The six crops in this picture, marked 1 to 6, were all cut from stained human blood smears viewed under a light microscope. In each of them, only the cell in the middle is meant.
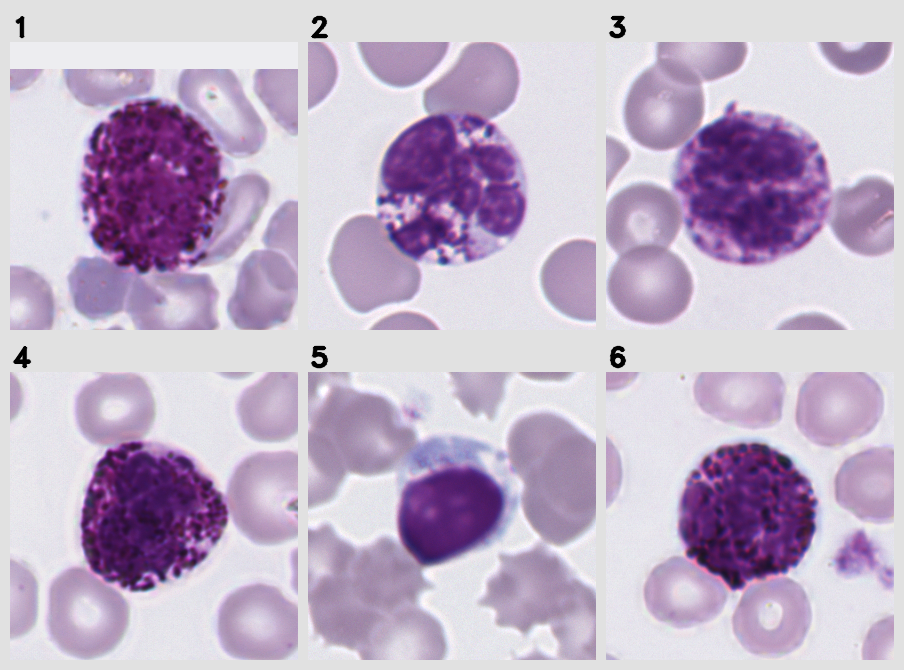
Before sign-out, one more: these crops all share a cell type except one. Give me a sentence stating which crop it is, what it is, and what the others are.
Crop 5 differs from the others in showing a typical lymphocyte; the rest all show basophils.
